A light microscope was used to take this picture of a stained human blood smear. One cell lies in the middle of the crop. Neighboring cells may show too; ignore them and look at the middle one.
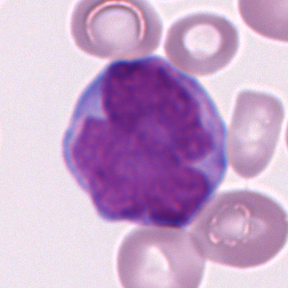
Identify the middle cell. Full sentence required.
The middle of this crop holds an atypical promyelocyte.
